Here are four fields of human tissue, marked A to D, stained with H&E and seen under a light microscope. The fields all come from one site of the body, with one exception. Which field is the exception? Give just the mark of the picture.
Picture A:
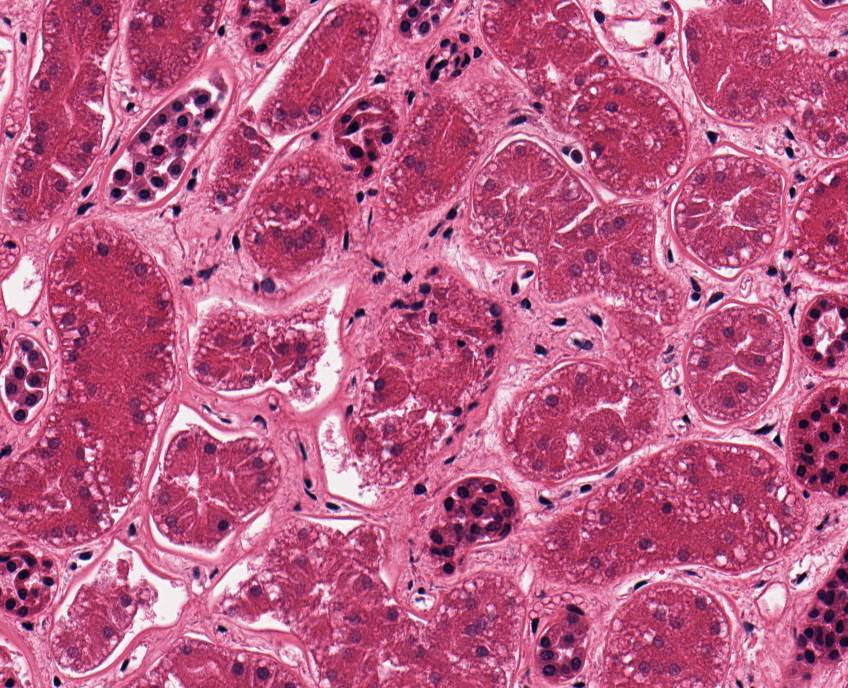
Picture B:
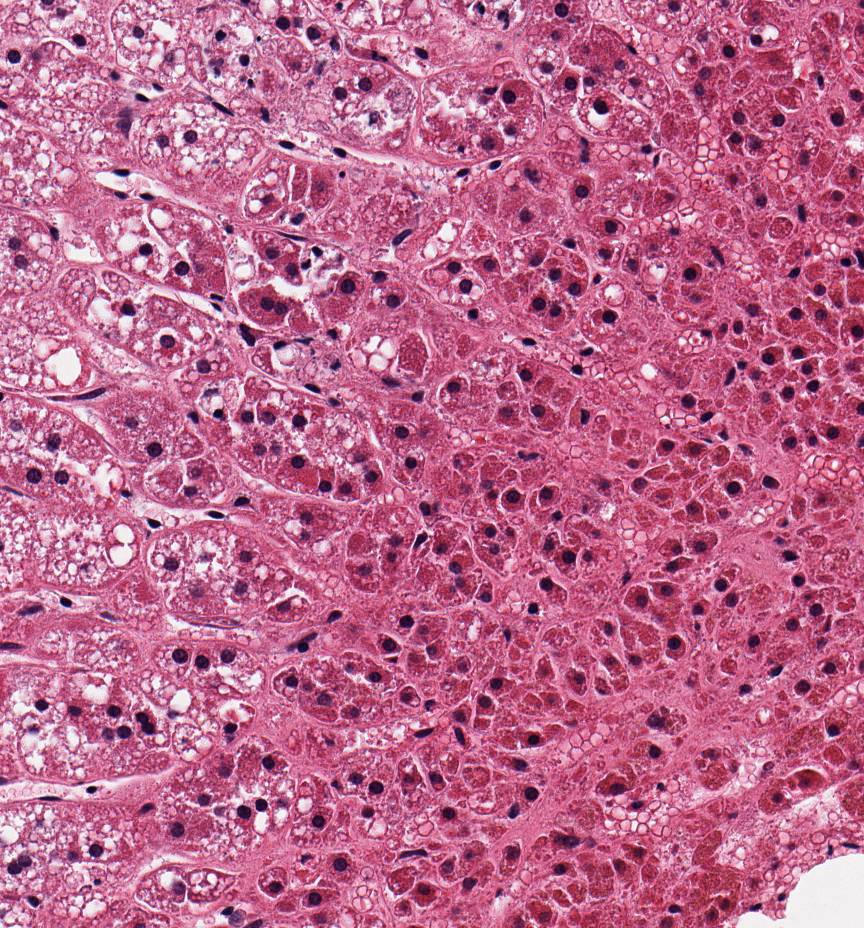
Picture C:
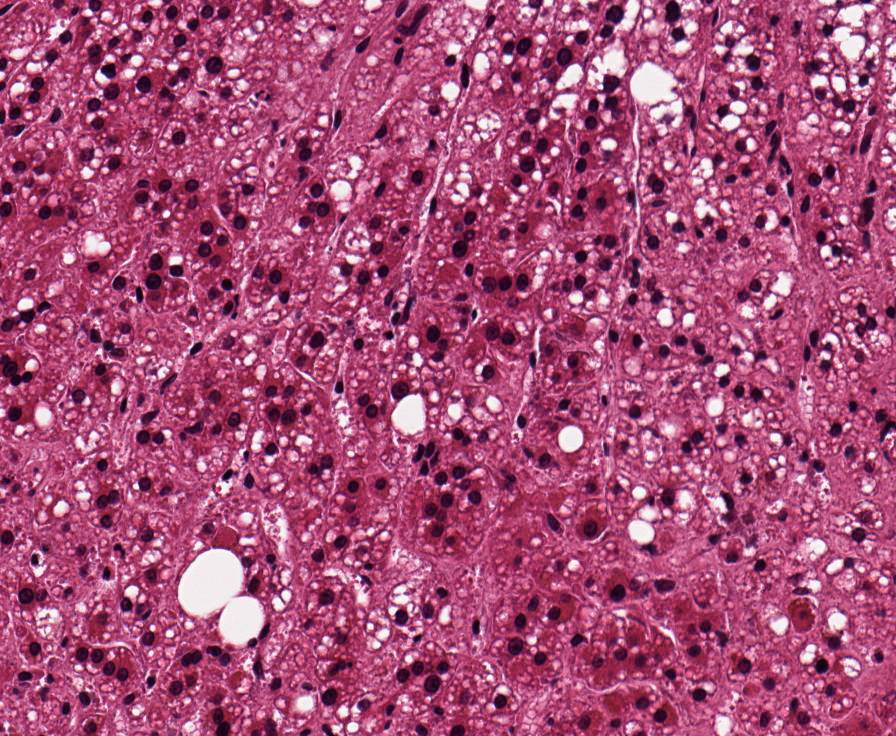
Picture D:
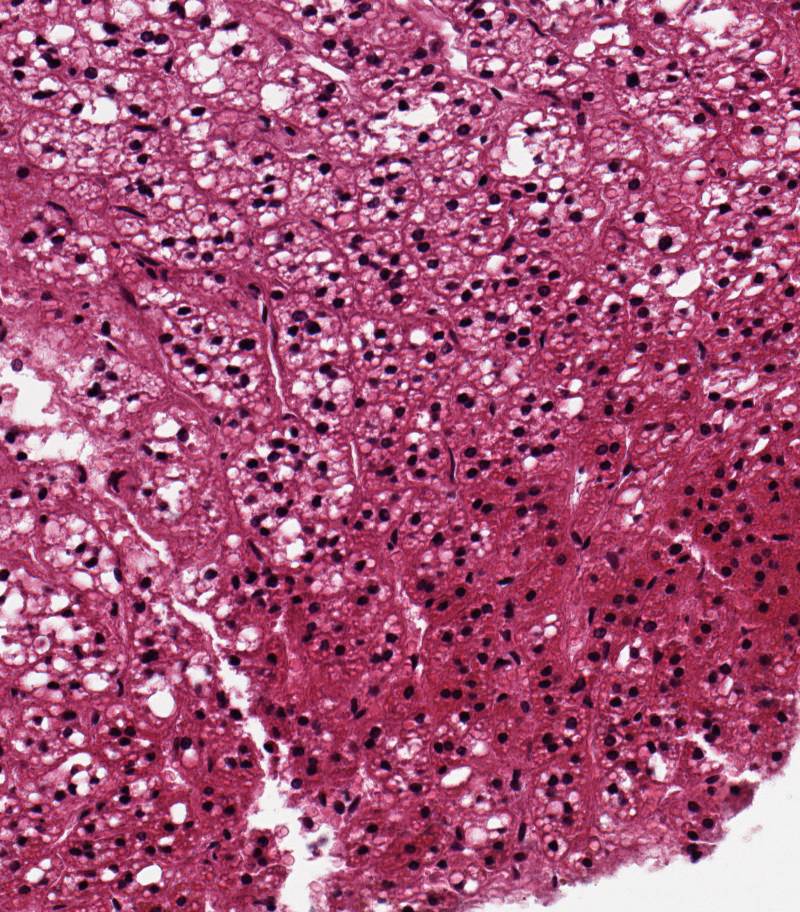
A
